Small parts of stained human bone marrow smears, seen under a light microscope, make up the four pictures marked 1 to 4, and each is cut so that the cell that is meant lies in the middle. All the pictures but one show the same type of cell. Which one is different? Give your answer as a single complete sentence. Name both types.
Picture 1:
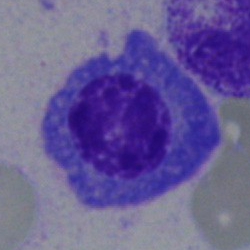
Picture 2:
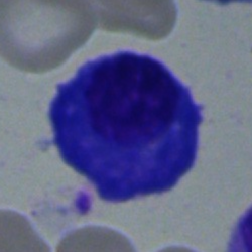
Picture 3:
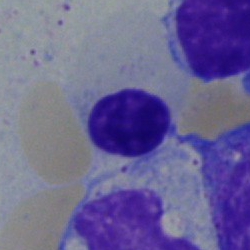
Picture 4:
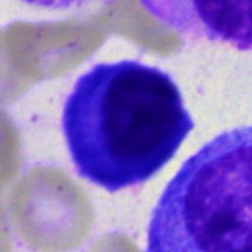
Picture 3 is the odd one out: it shows an erythroblast, while the others show plasma cells.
